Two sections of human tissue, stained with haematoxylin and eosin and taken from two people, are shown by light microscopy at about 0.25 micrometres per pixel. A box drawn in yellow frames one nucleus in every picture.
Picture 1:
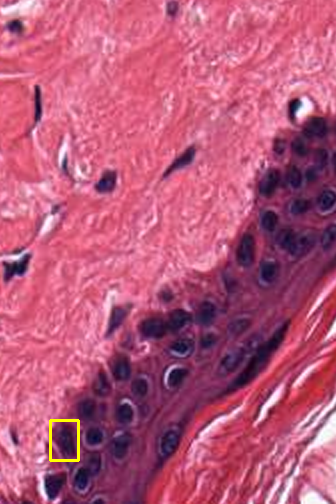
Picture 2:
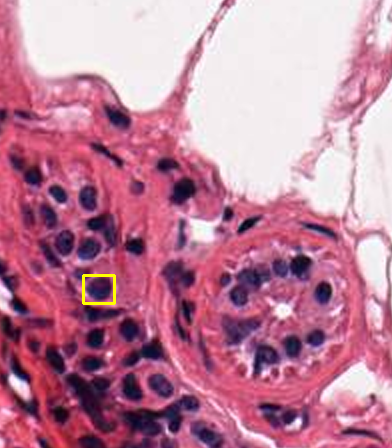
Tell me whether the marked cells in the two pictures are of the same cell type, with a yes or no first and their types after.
No, the first is a keratinocyte and the second a sweat gland cell.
